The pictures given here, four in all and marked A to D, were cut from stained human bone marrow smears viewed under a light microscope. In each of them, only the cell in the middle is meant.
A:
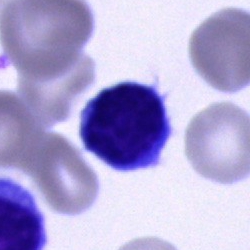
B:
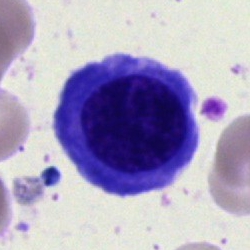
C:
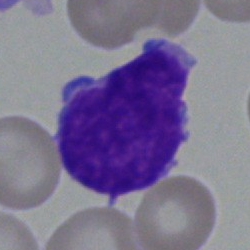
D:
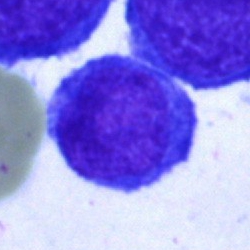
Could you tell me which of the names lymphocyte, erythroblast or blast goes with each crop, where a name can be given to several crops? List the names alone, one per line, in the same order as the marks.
lymphocyte
erythroblast
blast
blast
